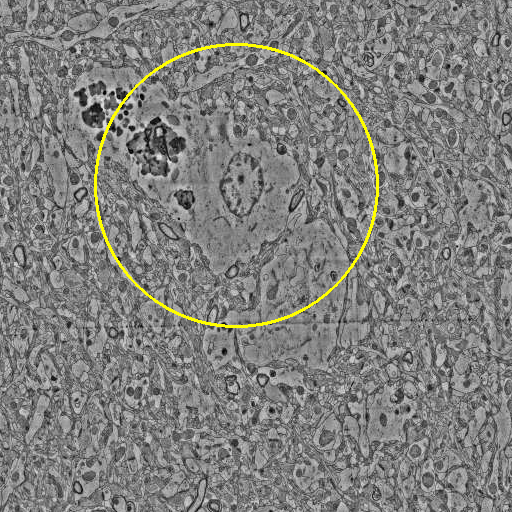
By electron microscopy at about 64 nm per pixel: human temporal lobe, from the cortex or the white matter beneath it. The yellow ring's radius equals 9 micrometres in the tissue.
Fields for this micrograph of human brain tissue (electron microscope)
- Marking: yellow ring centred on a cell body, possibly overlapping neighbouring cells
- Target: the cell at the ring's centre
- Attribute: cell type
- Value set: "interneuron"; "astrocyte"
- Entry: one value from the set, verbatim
astrocyte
